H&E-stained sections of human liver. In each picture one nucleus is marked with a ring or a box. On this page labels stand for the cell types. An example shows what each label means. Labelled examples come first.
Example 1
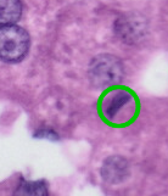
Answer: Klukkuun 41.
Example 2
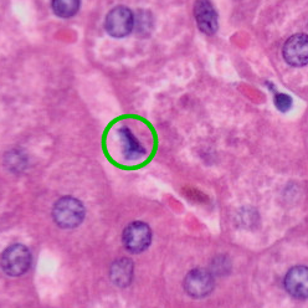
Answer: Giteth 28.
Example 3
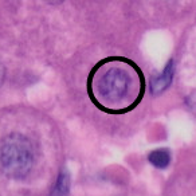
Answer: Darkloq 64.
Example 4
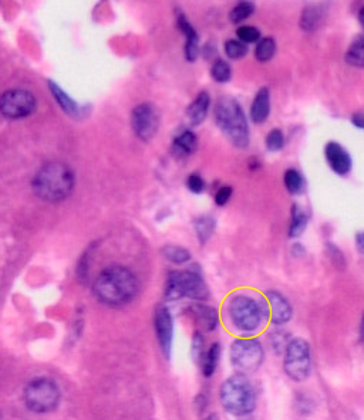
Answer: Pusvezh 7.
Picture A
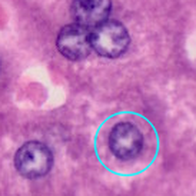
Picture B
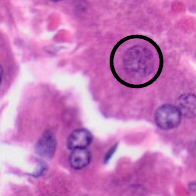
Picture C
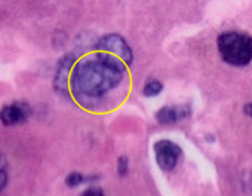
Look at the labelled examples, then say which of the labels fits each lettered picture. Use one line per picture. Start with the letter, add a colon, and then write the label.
A: Darkloq 64.
B: Darkloq 64.
C: Pusvezh 7.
